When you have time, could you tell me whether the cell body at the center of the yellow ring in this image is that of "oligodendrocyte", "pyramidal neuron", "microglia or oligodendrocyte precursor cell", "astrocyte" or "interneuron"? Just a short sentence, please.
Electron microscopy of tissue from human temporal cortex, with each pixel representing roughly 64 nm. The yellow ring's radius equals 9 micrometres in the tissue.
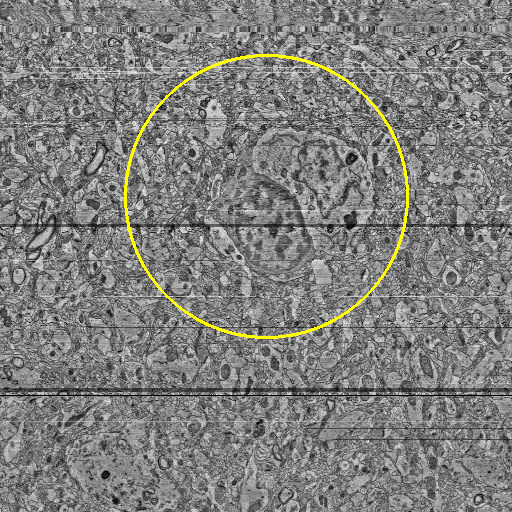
The cell body at the center of the ring is that of an oligodendrocyte.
